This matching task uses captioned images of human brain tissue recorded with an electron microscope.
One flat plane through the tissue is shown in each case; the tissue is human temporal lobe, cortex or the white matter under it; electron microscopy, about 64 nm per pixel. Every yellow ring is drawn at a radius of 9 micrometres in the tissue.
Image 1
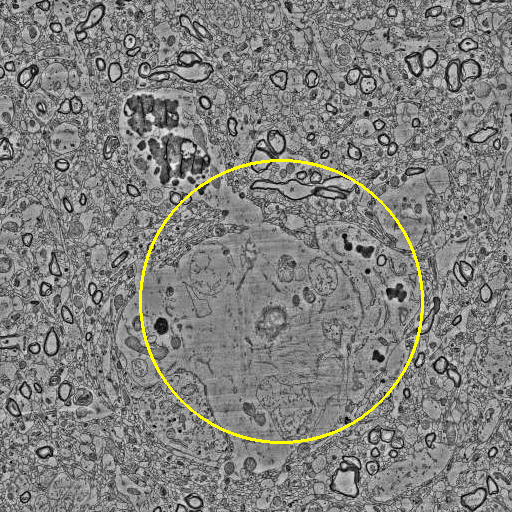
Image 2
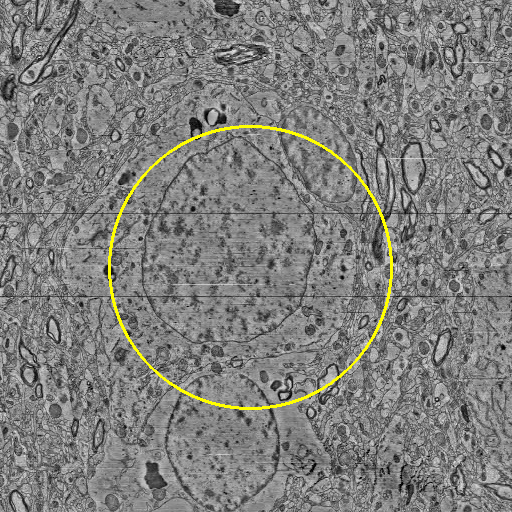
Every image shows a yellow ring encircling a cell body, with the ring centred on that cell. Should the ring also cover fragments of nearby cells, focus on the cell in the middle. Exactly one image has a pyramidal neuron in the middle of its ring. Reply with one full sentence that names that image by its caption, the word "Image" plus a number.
Image 2 shows the cell in question at the centre of its yellow ring.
